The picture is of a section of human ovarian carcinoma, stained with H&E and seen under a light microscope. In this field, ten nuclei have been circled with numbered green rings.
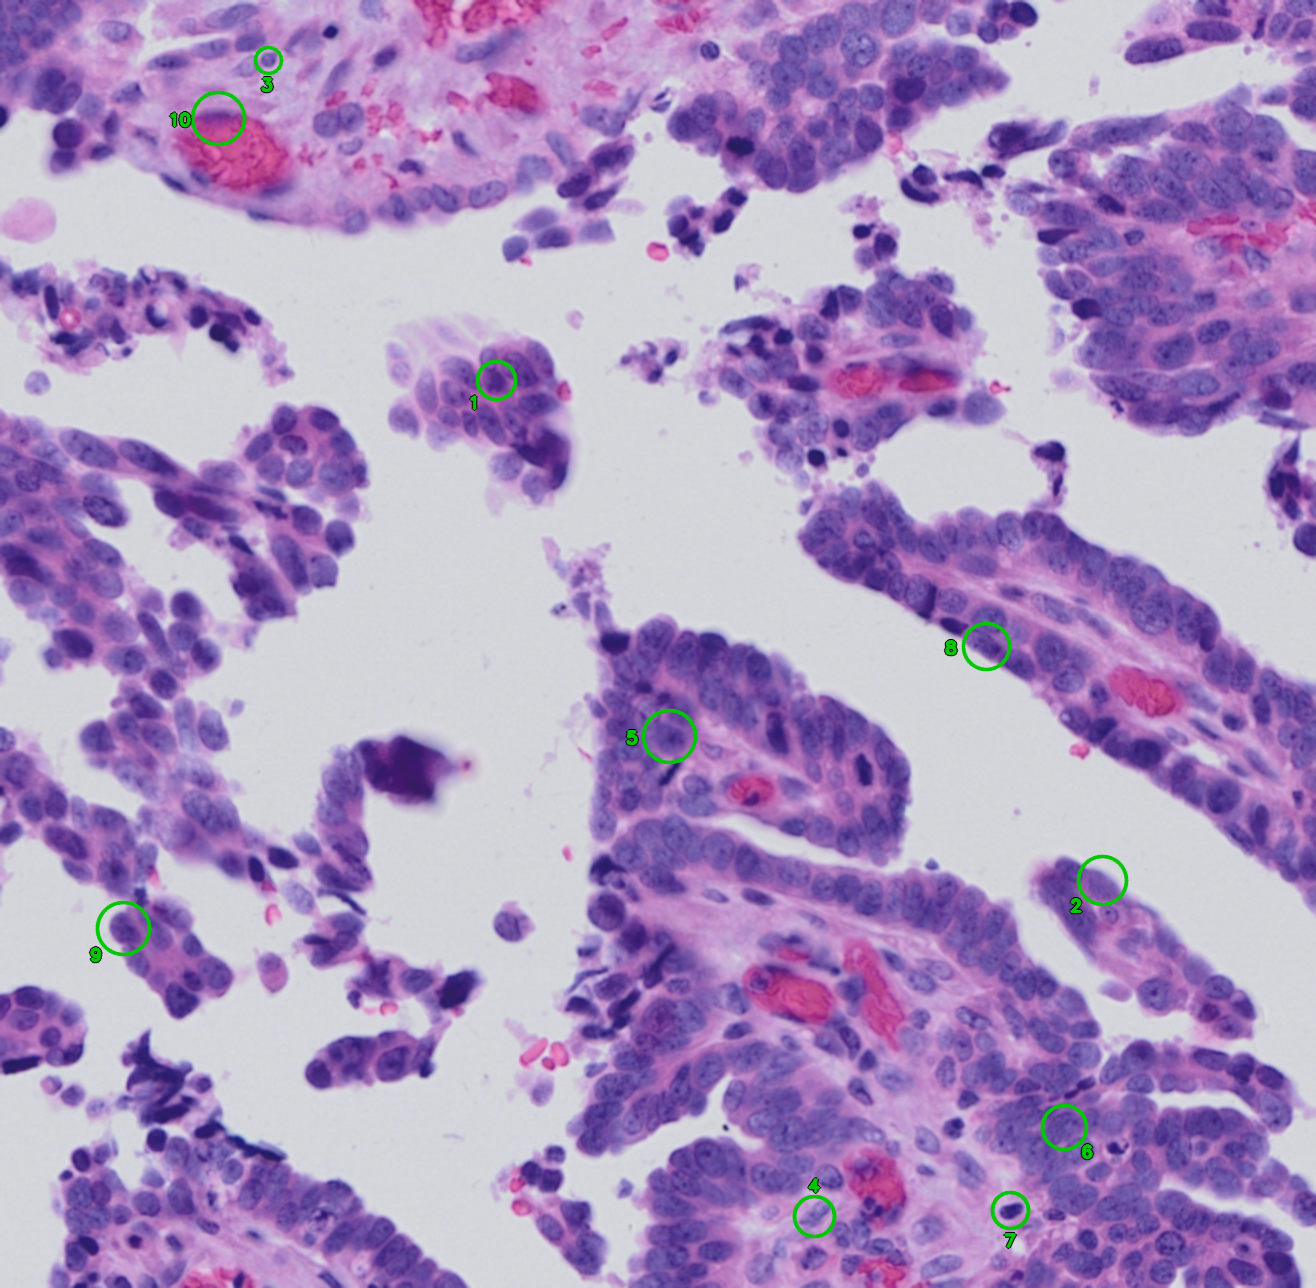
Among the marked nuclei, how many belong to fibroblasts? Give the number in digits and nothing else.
1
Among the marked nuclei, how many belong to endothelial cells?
1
